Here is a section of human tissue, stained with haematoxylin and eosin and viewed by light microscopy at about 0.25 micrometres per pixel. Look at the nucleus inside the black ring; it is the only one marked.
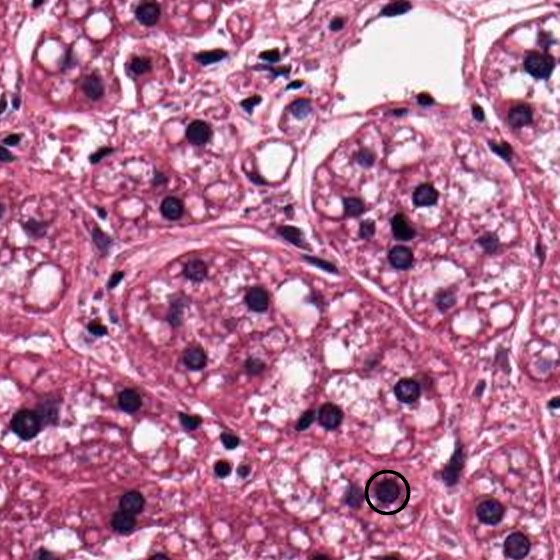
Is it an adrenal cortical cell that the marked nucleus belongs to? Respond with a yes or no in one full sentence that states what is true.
Yes, an adrenal cortical cell contains the marked nucleus.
